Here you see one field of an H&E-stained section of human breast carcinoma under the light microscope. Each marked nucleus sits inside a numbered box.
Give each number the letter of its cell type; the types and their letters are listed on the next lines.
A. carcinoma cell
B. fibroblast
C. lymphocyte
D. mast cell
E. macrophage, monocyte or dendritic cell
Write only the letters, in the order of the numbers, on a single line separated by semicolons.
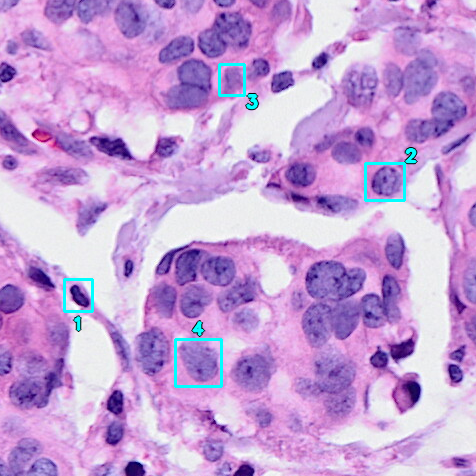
C; A; A; A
